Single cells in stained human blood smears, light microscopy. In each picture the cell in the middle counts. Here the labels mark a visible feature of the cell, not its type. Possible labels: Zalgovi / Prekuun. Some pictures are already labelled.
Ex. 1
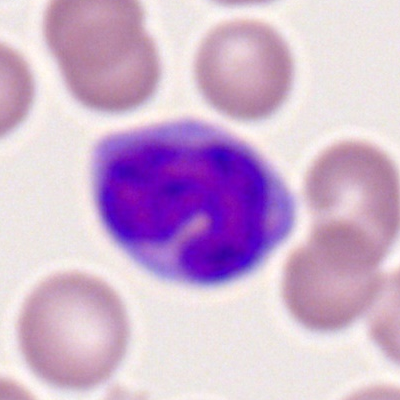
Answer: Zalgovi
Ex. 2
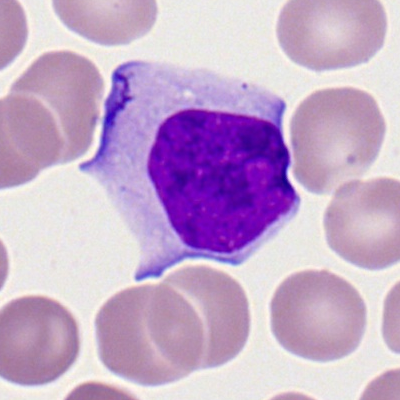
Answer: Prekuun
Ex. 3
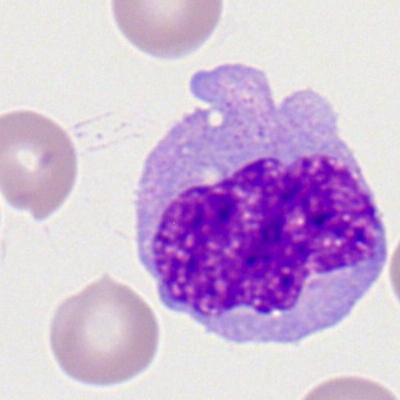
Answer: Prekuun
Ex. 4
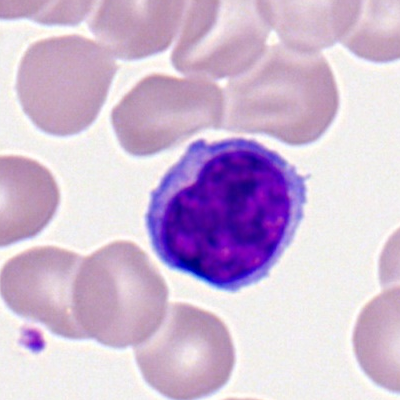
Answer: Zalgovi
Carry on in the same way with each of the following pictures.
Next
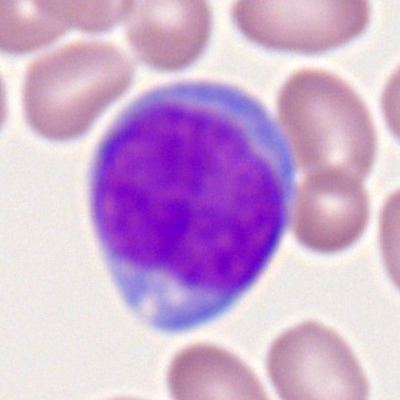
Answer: Zalgovi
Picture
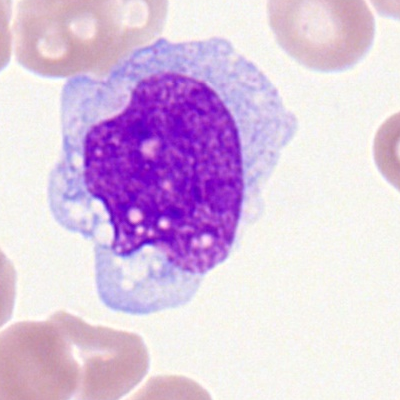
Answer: Prekuun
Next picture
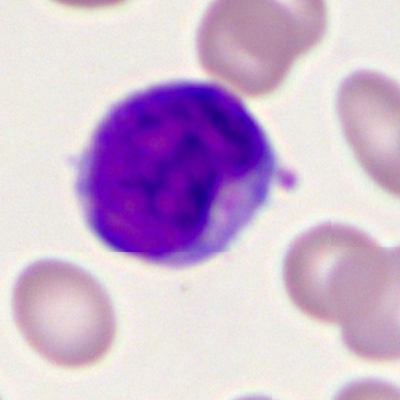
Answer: Zalgovi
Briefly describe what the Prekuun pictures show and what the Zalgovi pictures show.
Prekuun: abundant cytoplasm; Zalgovi: scant cytoplasm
